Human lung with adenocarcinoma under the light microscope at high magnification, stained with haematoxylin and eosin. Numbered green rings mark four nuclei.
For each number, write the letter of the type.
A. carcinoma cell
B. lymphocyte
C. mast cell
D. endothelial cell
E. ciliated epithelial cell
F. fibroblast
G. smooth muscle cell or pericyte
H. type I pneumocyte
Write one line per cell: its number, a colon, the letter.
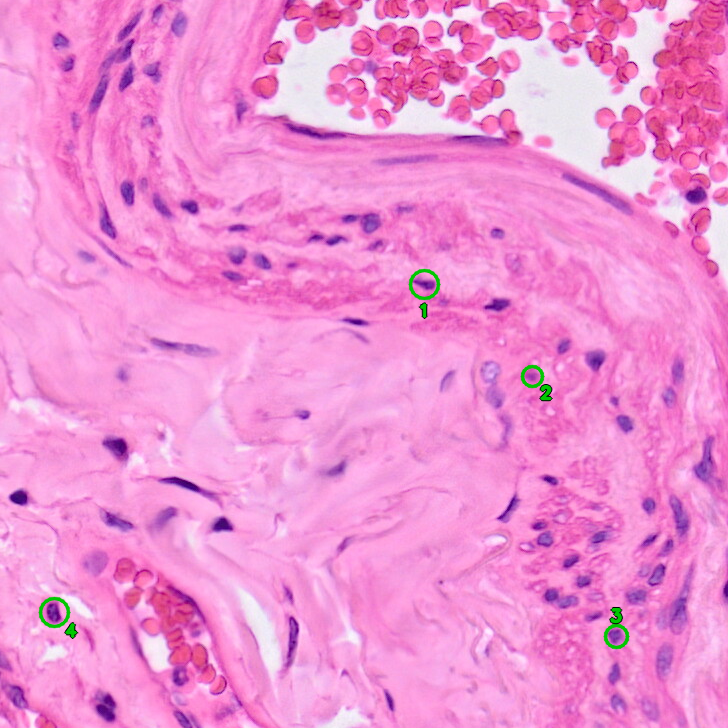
1: G
2: G
3: G
4: C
